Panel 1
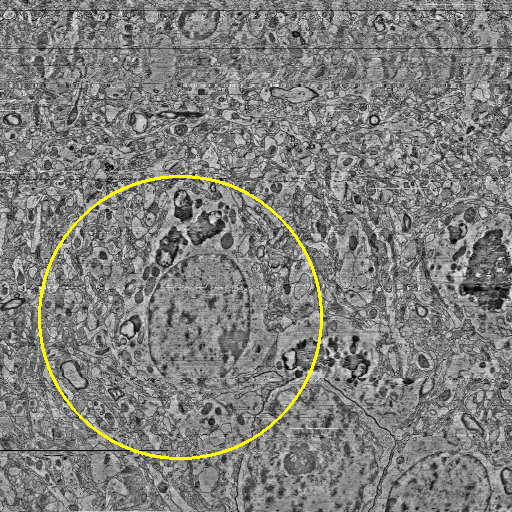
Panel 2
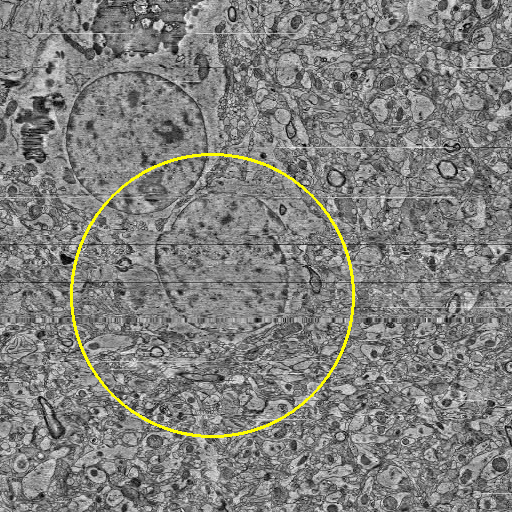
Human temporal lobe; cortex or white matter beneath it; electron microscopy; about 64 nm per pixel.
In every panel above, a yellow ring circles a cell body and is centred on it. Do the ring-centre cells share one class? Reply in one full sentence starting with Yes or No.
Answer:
Yes, the two cells at the ring centres in the panels belong to one class.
